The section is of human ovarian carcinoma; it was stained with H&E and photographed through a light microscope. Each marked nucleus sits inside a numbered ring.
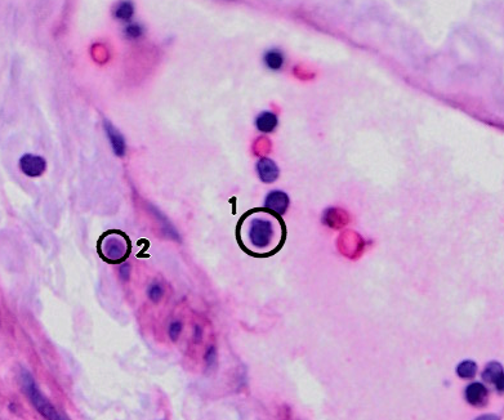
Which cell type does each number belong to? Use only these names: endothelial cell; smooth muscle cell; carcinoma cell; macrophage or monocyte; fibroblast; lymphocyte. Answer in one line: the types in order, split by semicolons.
lymphocyte; smooth muscle cell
